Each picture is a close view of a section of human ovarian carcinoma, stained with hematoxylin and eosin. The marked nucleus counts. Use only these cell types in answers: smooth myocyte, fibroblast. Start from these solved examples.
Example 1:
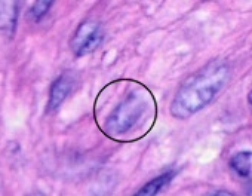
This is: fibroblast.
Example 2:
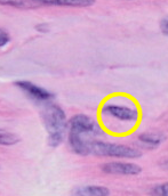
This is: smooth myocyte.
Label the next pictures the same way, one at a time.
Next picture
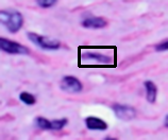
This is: fibroblast.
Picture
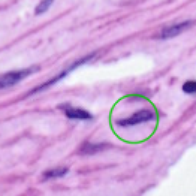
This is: fibroblast.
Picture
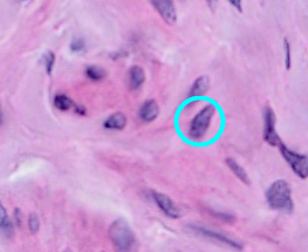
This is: smooth myocyte.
